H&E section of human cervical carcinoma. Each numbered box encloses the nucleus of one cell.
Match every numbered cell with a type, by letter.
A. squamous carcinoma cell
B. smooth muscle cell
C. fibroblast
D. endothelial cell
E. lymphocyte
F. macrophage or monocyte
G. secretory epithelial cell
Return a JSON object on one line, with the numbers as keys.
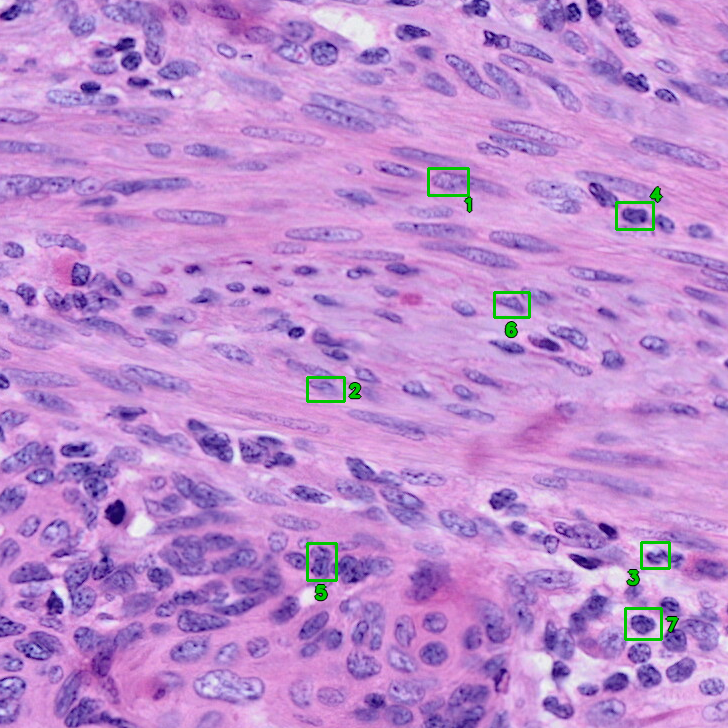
{"1": "B", "2": "B", "3": "E", "4": "E", "5": "A", "6": "B", "7": "E"}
